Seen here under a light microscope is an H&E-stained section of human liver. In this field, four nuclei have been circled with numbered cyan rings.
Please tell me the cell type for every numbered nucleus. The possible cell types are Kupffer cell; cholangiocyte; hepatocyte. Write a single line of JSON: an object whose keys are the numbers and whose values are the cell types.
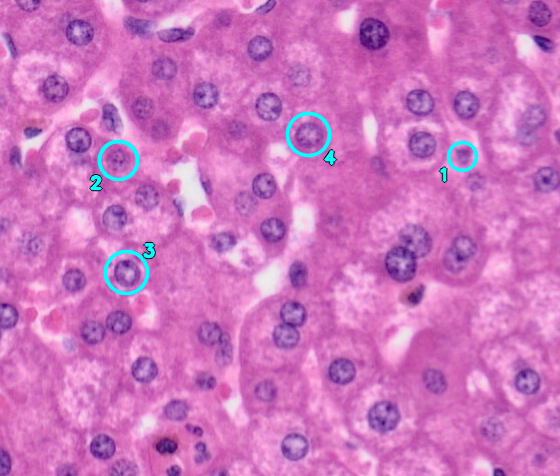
{"1": "Kupffer cell", "2": "hepatocyte", "3": "hepatocyte", "4": "hepatocyte"}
